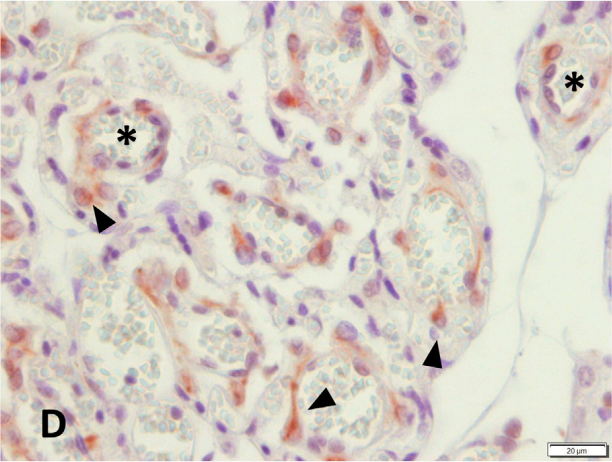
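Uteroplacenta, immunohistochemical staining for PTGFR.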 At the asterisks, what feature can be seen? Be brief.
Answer: blood vessels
